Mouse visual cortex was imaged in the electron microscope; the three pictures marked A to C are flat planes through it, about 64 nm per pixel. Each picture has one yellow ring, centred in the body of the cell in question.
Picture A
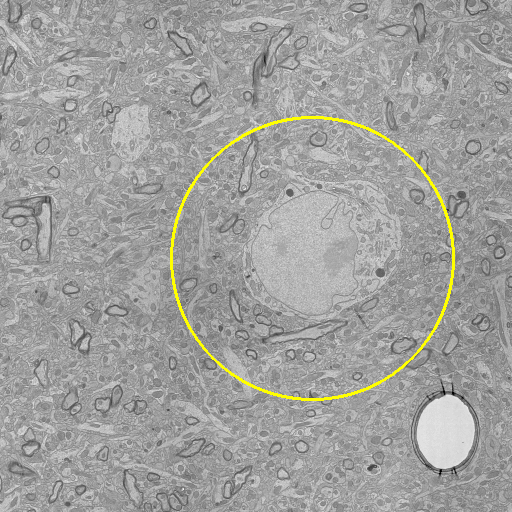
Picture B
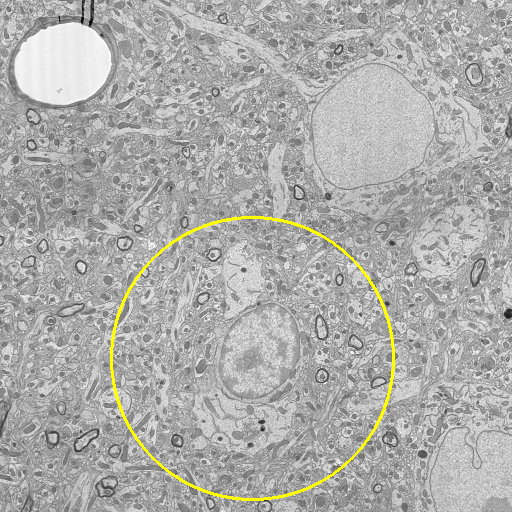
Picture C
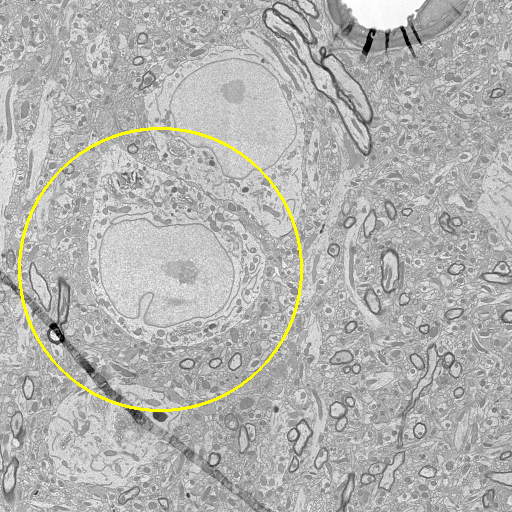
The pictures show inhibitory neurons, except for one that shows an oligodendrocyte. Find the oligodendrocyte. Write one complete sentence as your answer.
Picture B shows the oligodendrocyte.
